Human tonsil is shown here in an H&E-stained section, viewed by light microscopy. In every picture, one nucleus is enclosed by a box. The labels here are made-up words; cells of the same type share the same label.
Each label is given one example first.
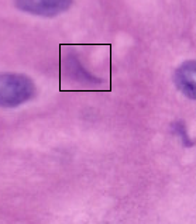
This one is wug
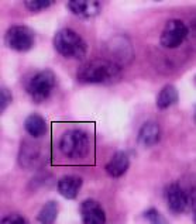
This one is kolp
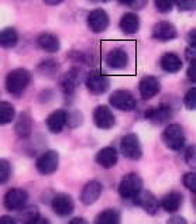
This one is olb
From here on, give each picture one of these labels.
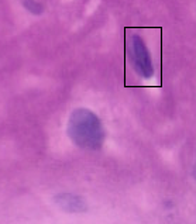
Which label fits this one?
wug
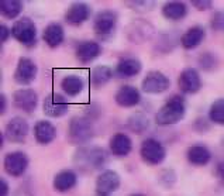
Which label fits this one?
olb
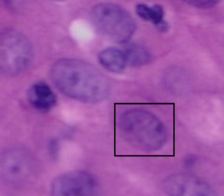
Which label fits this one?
wug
